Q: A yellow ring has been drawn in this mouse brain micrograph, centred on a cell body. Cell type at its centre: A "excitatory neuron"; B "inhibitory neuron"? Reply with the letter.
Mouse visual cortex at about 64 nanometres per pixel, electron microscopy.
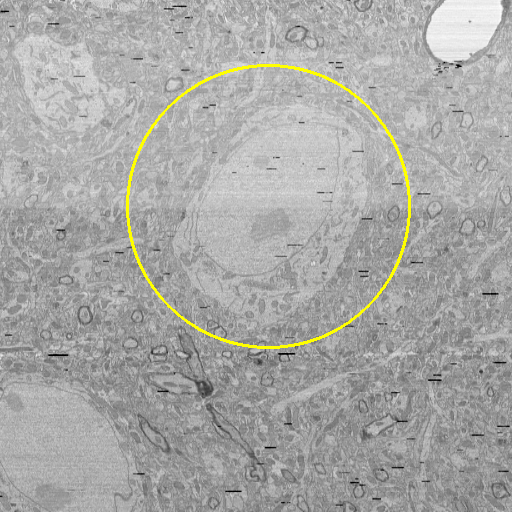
A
